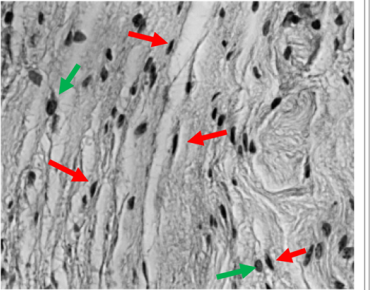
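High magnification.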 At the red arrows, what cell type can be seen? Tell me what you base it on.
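They lie aligned along wavy fibrous matrix.
Answer: fibroblasts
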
